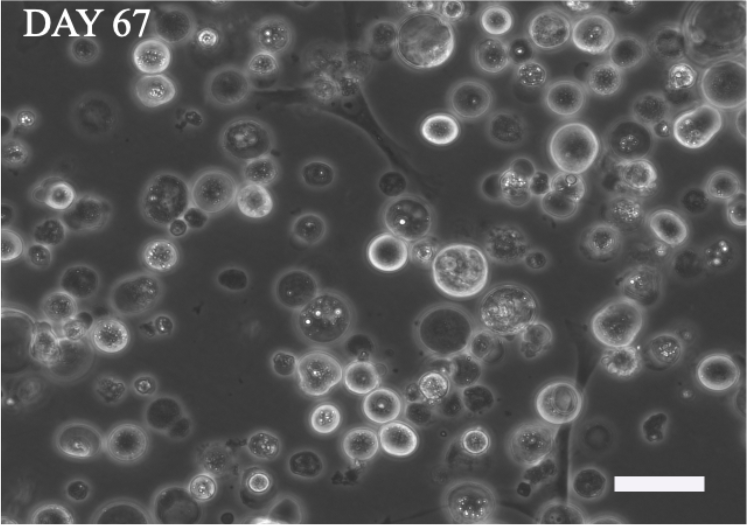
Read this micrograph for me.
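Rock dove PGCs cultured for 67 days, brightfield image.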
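The cells are spherical and vary in size, some clearly larger than others, and most are outlined by a bright halo. Their cytoplasm looks granular, and many cells contain small bright refractile granules. The cells do not spread or flatten on the surface but remain rounded, as cells grown in suspension do.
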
